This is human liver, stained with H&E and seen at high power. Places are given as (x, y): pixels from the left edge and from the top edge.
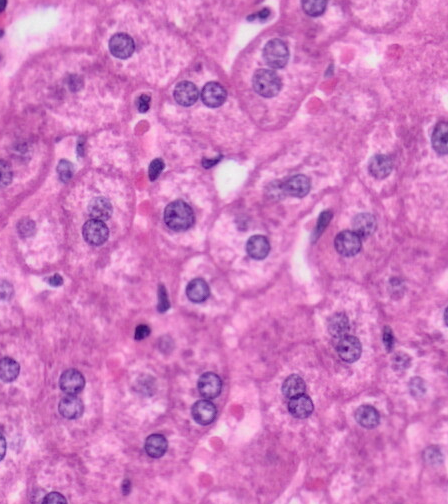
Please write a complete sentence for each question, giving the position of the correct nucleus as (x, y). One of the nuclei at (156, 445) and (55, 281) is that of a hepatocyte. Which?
Lying within a hepatocyte is the nucleus at (156, 445).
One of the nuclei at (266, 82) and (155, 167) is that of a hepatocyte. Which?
The nucleus of a hepatocyte is the one at (266, 82).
